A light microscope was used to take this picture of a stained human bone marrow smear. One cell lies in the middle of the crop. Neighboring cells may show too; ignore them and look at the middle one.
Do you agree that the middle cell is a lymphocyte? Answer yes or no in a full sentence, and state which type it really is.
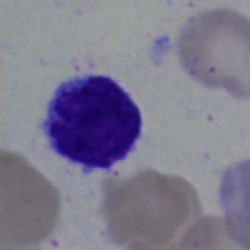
Yes, the cell centred in the field of view is a lymphocyte.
